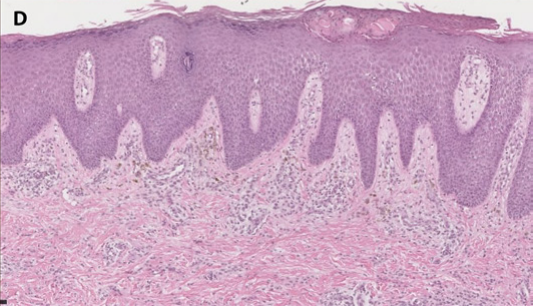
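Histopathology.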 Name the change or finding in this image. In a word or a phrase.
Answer: Chronic dermatitis.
